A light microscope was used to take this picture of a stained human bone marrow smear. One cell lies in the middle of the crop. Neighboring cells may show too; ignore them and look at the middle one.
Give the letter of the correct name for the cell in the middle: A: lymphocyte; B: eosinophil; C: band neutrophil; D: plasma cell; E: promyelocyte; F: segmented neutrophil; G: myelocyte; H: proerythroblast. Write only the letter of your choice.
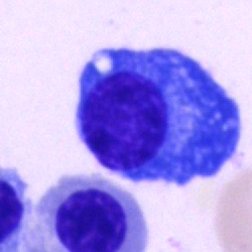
D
